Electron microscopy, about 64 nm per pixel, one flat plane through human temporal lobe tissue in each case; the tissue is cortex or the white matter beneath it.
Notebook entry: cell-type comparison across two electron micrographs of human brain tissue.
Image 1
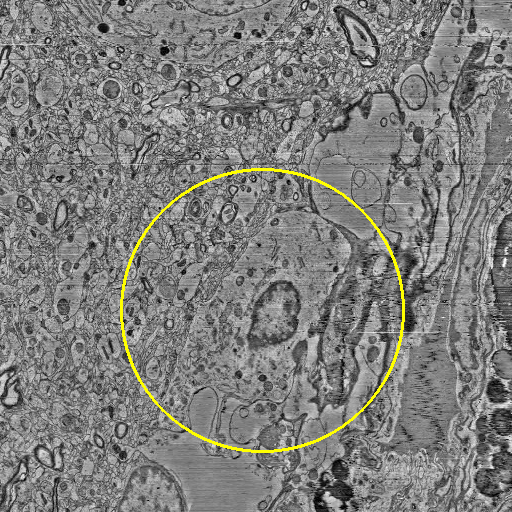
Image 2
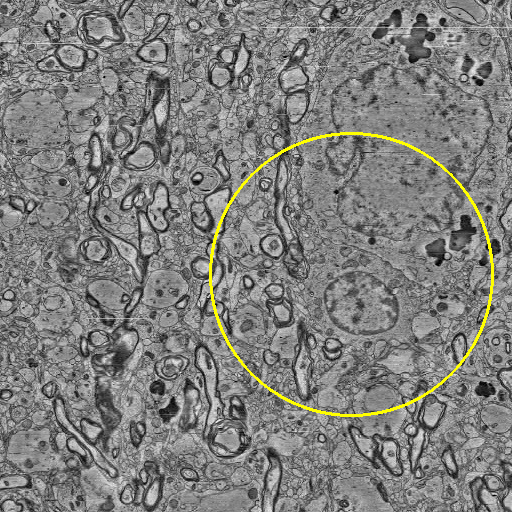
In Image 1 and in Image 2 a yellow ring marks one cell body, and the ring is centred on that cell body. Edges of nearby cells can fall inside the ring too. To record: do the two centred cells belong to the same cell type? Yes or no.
no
